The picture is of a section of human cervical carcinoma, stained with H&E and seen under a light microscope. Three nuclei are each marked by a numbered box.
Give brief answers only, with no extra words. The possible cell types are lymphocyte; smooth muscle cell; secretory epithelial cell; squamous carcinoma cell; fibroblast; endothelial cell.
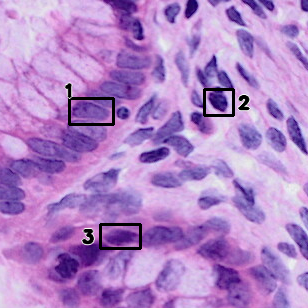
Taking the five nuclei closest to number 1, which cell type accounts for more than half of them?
secretory epithelial cell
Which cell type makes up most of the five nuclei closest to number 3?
secretory epithelial cell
